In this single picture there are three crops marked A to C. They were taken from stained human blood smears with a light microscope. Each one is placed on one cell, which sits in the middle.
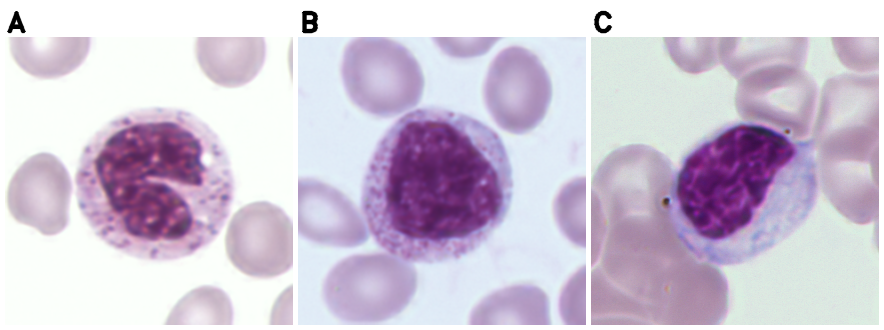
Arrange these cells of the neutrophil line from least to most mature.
B, C, A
